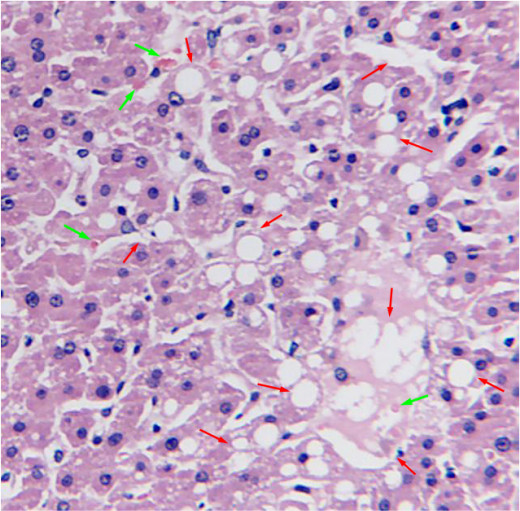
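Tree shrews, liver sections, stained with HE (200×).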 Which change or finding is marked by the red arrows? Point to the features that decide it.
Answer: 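Macrovesicles. Large round, clear, empty-looking vacuoles sit within the pink cytoplasm. Several vacuoles are as large as or larger than a hepatocyte nucleus. The red arrows point at these clear vacuoles.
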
